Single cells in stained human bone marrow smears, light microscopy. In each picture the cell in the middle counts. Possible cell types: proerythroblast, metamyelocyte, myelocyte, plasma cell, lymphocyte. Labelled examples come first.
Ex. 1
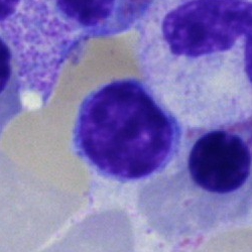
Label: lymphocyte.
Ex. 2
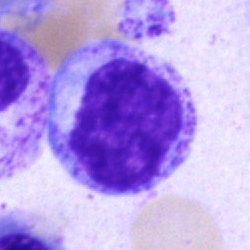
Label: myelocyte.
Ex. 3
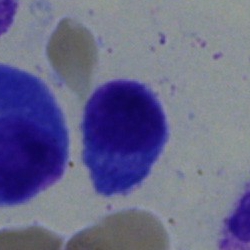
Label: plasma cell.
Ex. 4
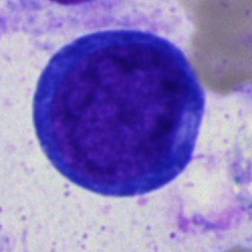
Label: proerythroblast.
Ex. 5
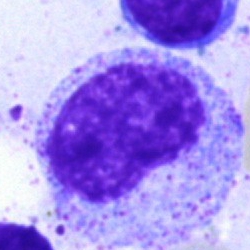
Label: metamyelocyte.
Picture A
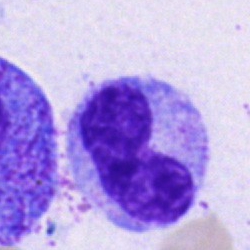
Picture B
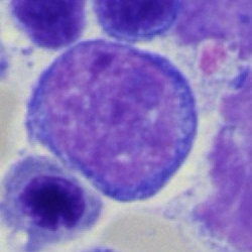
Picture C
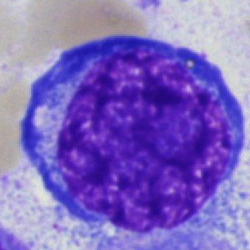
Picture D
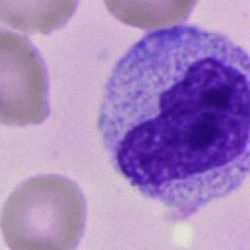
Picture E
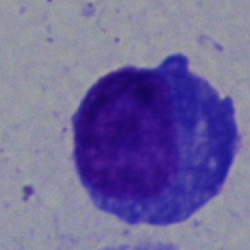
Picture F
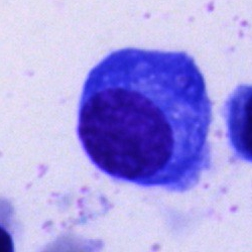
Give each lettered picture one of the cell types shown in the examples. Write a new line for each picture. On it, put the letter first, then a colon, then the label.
A: metamyelocyte.
B: proerythroblast.
C: proerythroblast.
D: metamyelocyte.
E: plasma cell.
F: plasma cell.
